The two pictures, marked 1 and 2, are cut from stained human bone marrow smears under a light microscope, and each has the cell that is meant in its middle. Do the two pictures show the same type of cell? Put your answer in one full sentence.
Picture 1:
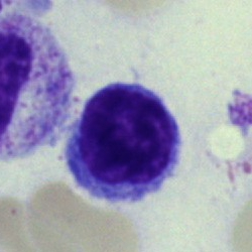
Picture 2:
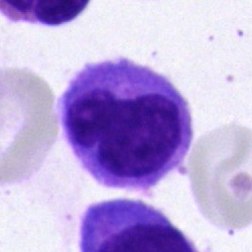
No, the types are not the same, since picture 1 shows a lymphocyte and picture 2 a monocyte.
